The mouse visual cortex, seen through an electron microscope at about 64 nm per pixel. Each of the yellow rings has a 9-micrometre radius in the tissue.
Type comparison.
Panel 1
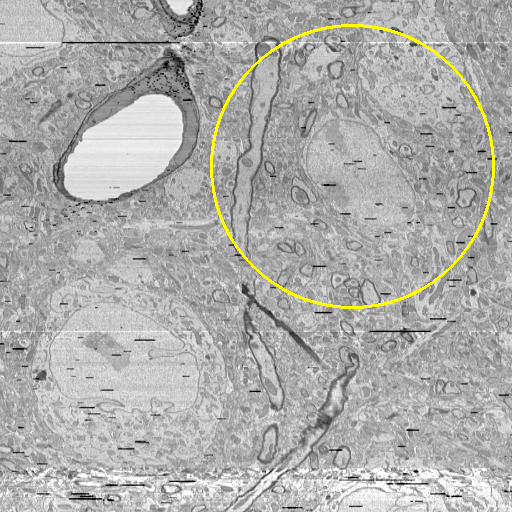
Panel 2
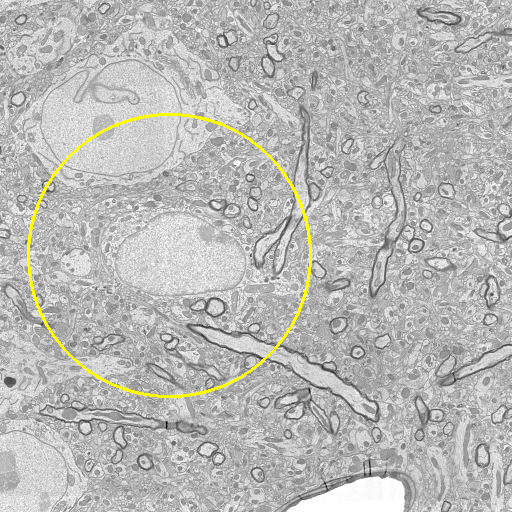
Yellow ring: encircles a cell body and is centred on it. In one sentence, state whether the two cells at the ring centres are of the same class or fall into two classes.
In these panels, the two cells at the ring centres are of the same class.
